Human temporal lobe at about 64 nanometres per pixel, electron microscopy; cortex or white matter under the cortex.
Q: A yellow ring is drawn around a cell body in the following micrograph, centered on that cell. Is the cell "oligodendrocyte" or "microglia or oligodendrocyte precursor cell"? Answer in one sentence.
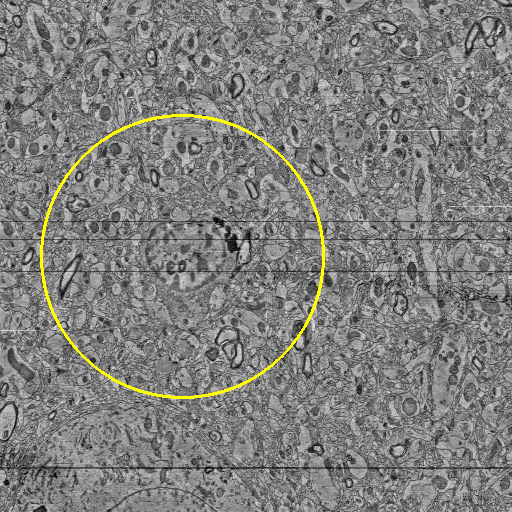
The cell in the center of the ring is an oligodendrocyte.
